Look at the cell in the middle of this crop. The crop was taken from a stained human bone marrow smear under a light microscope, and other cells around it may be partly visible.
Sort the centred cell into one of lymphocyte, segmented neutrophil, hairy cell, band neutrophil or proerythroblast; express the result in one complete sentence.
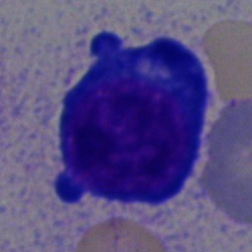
The crop shows a proerythroblast in its centre.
